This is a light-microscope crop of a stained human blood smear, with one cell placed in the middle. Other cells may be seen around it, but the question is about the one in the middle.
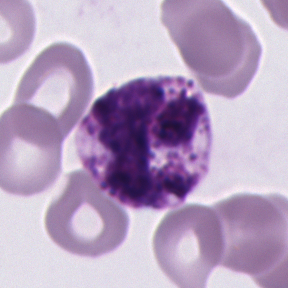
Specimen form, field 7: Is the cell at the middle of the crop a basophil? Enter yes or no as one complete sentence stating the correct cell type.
Yes, the cell at the middle of the frame is a basophil.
